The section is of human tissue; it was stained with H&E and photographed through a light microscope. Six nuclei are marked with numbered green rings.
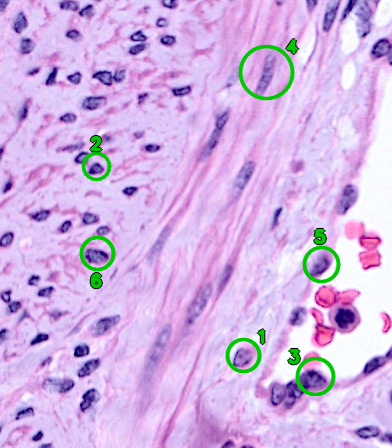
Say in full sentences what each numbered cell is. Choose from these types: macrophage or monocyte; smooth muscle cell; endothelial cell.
Cell 1 is a macrophage or monocyte. Cells 2, 4 and 6 are smooth muscle cells. Cells 3 and 5 are endothelial cells.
